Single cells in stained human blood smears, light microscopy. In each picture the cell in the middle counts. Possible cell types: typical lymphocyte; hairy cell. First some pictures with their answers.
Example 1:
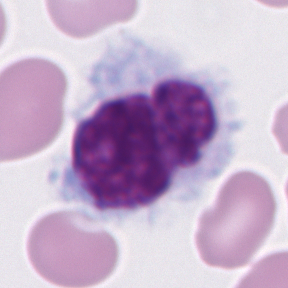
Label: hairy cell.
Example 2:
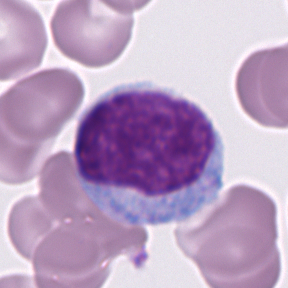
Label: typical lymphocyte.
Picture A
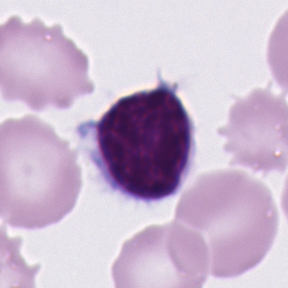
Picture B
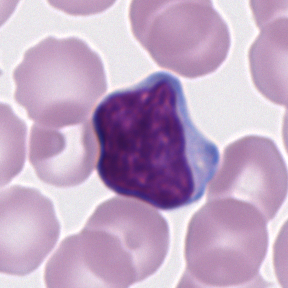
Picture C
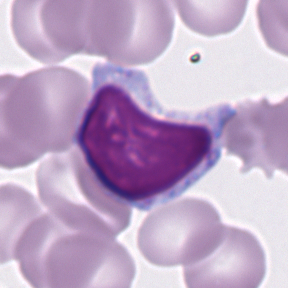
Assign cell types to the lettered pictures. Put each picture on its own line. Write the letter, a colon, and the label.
A: hairy cell.
B: typical lymphocyte.
C: typical lymphocyte.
